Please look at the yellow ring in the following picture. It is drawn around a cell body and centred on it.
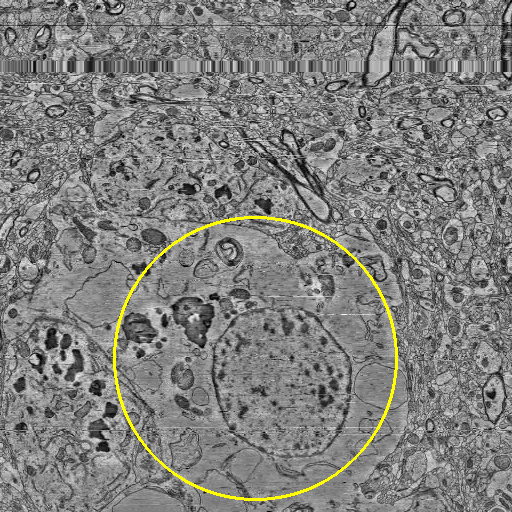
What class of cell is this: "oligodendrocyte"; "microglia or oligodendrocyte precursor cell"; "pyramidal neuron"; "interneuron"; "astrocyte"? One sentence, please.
The ring surrounds the cell body of an astrocyte.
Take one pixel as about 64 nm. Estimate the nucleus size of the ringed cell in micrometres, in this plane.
About 11 by 9 micrometers, in this plane.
